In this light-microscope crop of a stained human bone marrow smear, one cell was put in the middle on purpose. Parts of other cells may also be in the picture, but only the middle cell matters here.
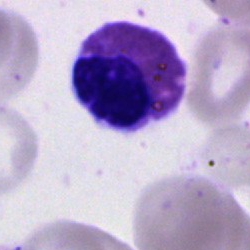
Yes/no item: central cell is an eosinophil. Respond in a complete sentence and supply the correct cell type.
Yes, the cell under consideration, the one in the middle, is an eosinophil.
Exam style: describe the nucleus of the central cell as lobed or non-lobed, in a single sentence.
The nucleus amounts to one compact mass with a round, oval or kidney-shaped outline.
